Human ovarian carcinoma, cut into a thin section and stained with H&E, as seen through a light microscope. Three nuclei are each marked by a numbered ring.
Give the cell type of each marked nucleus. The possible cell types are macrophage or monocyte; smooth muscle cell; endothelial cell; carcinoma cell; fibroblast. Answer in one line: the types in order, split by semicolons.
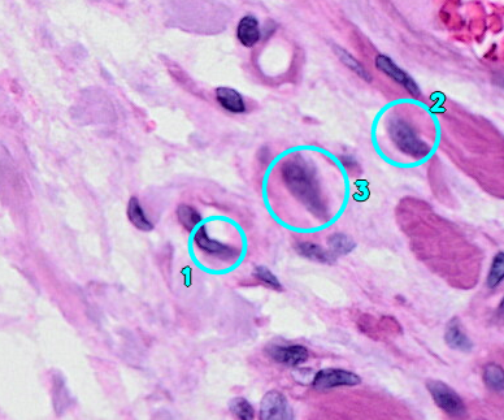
endothelial cell; smooth muscle cell; endothelial cell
